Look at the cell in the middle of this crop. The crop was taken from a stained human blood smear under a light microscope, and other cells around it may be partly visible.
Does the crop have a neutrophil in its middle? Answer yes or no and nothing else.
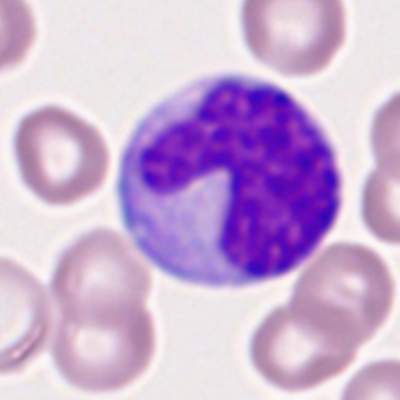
no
